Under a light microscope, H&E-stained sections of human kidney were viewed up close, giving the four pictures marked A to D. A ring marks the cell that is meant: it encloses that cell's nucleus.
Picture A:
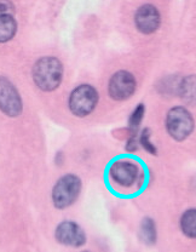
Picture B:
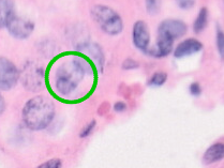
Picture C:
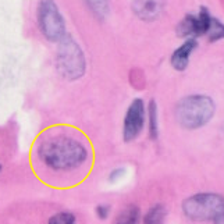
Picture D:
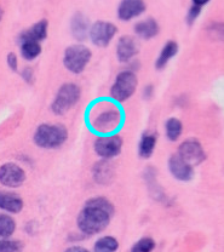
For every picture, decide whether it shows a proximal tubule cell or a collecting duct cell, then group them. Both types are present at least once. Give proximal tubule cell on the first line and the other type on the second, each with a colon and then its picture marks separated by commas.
proximal tubule cell: C
collecting duct cell: A, B, D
